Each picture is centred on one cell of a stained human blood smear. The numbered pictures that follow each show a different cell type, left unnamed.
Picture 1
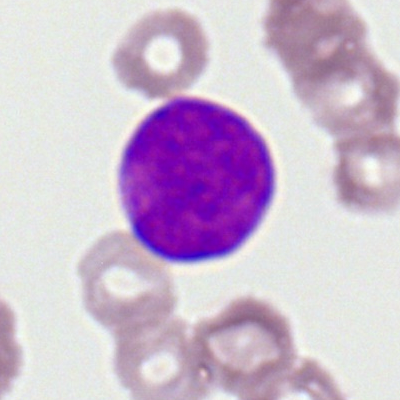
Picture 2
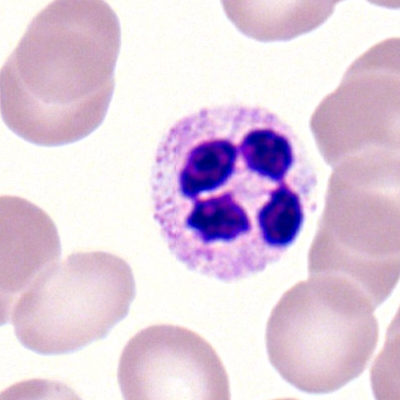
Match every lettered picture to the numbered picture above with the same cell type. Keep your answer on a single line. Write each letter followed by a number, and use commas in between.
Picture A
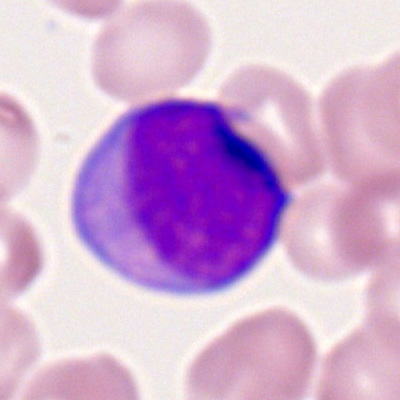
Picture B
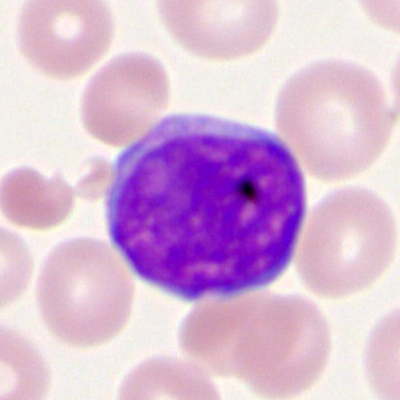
A 1, B 1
